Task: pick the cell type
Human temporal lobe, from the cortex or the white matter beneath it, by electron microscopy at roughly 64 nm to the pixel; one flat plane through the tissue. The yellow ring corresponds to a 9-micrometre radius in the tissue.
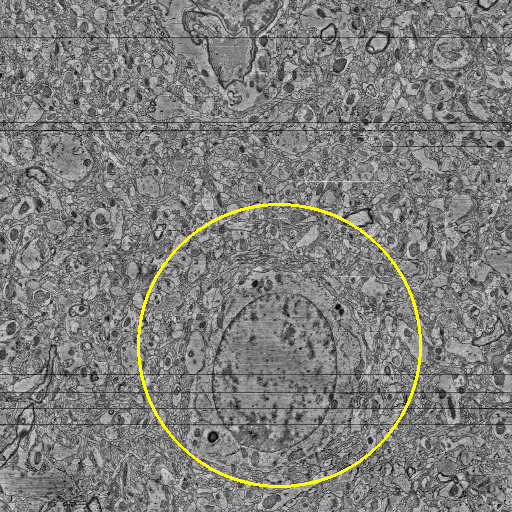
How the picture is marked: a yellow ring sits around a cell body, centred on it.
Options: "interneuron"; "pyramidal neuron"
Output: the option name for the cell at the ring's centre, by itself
pyramidal neuron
